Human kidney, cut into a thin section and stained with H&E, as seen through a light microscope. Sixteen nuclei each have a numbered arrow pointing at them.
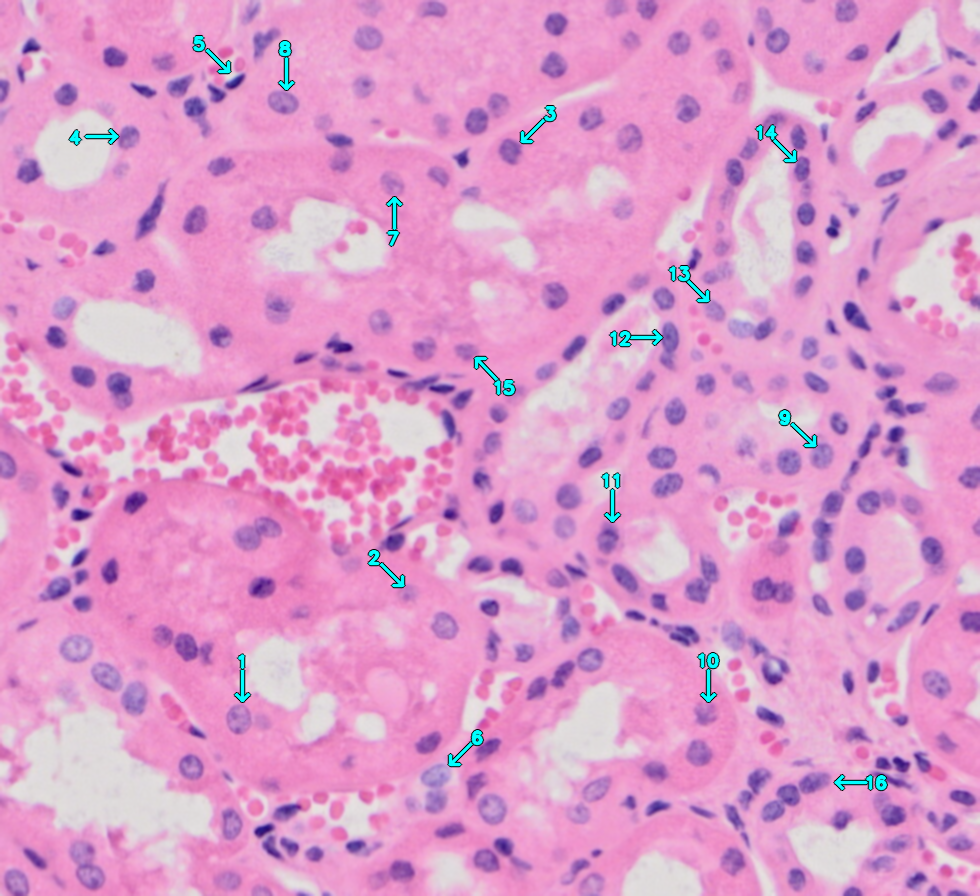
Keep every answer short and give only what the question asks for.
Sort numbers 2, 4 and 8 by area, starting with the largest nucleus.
8, 4, 2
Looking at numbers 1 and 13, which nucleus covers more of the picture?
1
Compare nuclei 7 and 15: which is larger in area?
7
